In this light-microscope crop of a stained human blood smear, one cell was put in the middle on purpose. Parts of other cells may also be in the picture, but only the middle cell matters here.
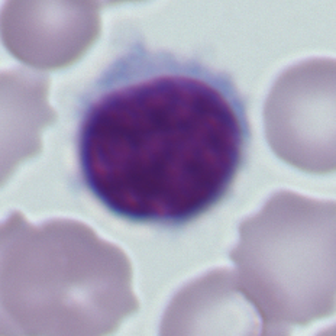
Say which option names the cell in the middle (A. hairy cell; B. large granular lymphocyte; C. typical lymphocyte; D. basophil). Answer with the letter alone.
A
